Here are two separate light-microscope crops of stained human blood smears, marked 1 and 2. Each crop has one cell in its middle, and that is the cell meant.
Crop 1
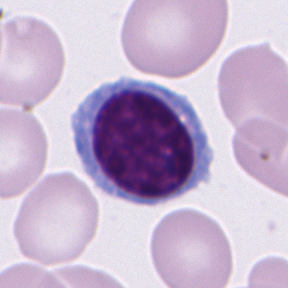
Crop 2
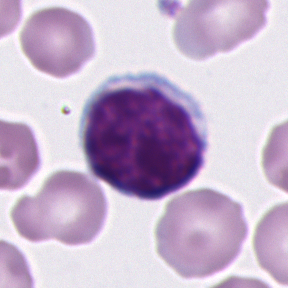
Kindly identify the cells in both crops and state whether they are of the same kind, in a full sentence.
Yes, the two crops share the same answer, lymphocytes.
